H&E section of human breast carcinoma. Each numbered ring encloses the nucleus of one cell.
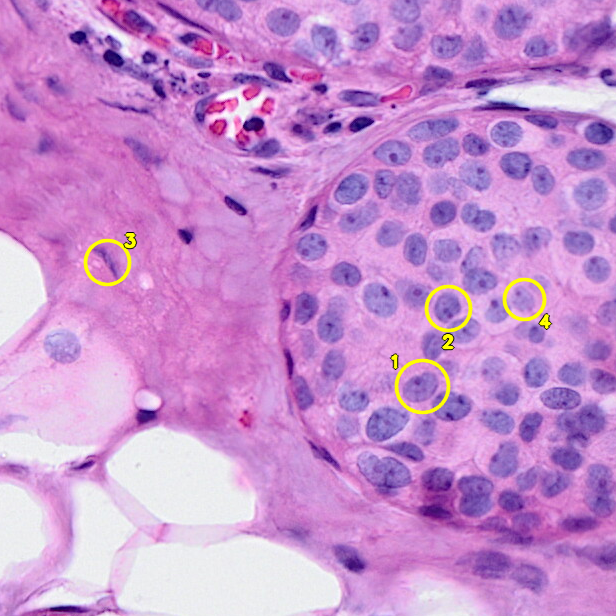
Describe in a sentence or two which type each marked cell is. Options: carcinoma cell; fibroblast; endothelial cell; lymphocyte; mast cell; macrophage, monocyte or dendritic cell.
Cells 1, 2 and 4 are carcinoma cells. Cell 3 is a fibroblast.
